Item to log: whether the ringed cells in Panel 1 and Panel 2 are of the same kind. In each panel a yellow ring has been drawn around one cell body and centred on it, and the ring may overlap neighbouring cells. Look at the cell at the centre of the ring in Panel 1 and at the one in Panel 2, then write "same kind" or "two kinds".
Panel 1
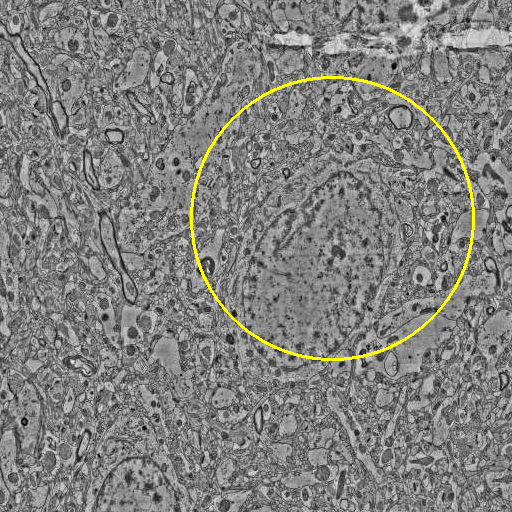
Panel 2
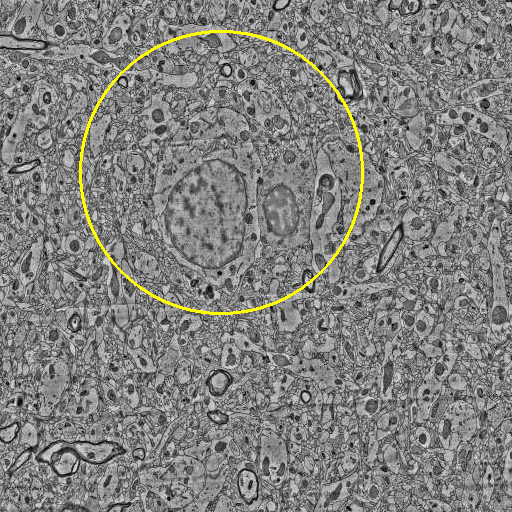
same kind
